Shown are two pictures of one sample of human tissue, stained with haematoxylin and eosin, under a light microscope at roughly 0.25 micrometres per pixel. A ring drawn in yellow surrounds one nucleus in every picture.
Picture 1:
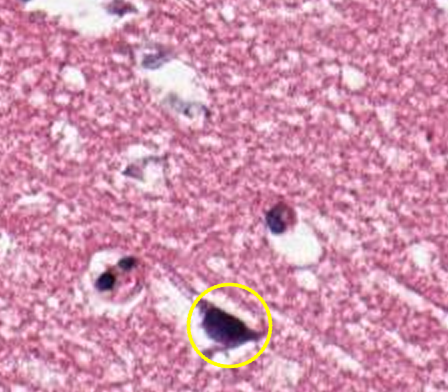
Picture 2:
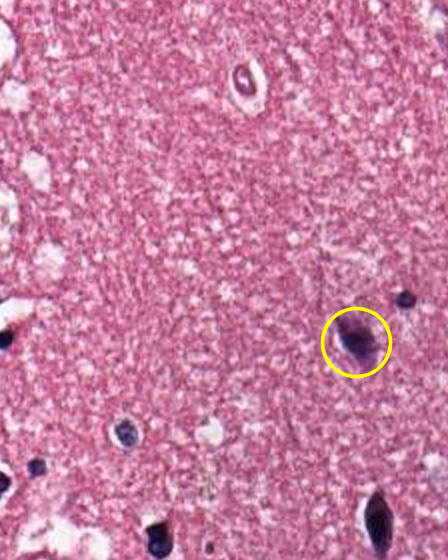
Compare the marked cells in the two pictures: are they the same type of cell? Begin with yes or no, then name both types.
Yes, both are neurons.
